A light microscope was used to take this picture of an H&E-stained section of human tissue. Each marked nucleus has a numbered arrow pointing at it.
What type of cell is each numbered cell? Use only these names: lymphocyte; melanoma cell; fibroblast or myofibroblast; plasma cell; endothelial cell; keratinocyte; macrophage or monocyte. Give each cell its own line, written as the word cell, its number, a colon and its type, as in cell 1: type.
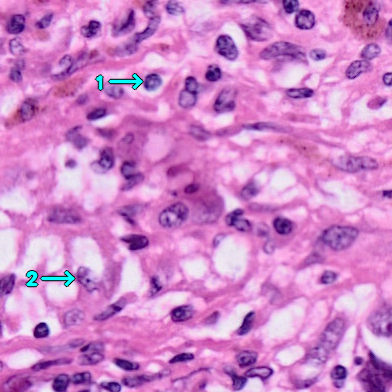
cell 1: lymphocyte
cell 2: melanoma cell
